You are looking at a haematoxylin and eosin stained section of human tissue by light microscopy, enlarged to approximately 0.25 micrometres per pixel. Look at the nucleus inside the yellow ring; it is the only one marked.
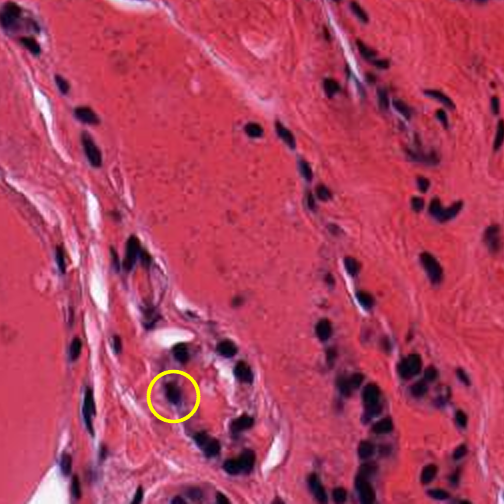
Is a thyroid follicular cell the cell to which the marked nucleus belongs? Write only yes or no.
yes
